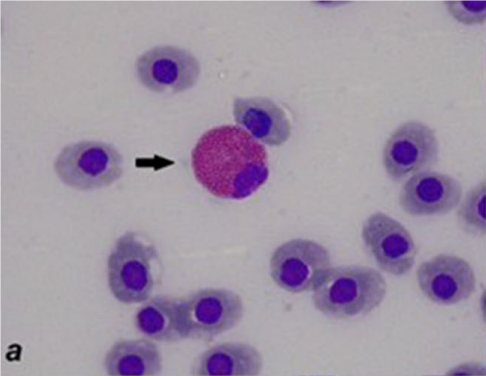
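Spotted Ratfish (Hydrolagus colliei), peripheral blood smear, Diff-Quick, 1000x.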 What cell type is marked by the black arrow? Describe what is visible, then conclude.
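The marked cell is round and larger than the surrounding red cells. Its cytoplasm is packed with bright pink-red granules. The nucleus is pushed to one edge of the cell. On this evidence: Coarse eosinophilic granulocyte.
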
